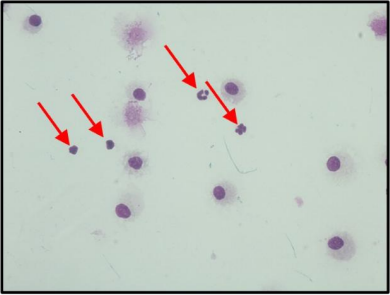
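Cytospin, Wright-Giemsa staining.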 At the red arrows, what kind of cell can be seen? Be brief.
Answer: Neutrophils.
